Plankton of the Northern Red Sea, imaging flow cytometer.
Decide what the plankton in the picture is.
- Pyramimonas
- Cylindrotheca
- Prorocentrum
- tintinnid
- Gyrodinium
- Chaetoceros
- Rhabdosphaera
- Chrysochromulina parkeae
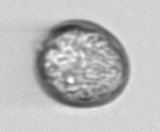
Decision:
Prorocentrum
